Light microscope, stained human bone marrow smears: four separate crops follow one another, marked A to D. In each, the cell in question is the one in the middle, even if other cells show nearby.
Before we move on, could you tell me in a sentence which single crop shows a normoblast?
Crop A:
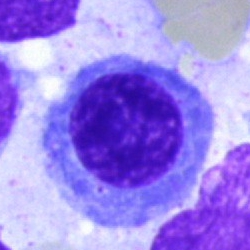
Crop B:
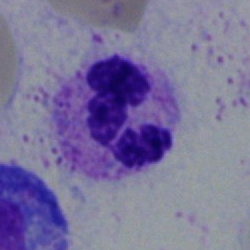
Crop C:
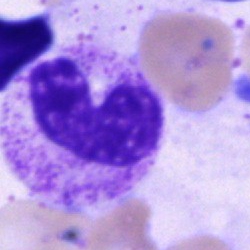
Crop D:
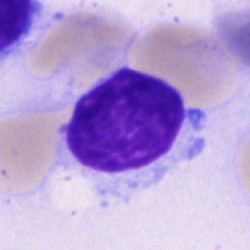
Crop A is the one depicting a normoblast.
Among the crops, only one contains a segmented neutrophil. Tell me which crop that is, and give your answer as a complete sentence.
Crop B is the crop in which a segmented neutrophil is shown.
